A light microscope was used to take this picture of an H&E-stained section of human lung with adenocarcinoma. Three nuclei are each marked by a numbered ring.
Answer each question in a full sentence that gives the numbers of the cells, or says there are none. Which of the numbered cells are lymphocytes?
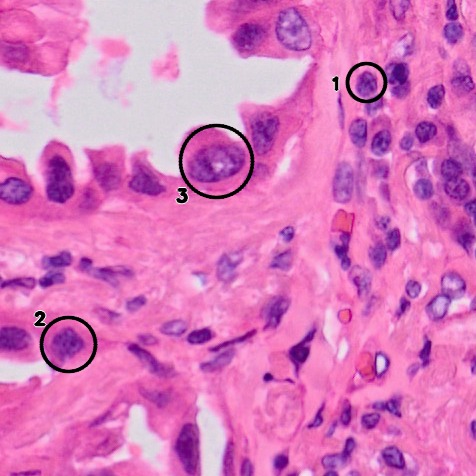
Cell 1 is a lymphocyte; the remaining numbered cells are not.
